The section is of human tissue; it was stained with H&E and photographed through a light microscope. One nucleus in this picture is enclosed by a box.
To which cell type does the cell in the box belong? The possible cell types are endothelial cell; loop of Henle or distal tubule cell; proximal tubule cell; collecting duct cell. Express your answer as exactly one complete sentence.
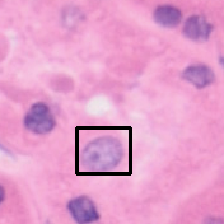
As far as its identity is concerned, the cell in the box is a proximal tubule cell.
